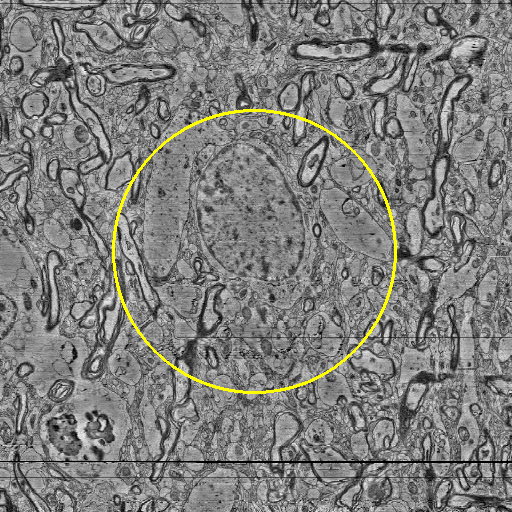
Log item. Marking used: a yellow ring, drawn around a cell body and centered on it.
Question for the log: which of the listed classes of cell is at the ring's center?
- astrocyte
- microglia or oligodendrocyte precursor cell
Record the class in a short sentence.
At the center of the ring lies a microglial cell or oligodendrocyte precursor cell.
